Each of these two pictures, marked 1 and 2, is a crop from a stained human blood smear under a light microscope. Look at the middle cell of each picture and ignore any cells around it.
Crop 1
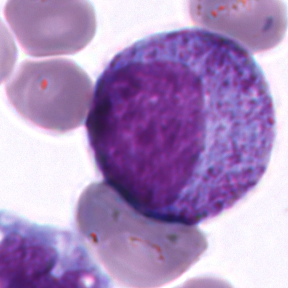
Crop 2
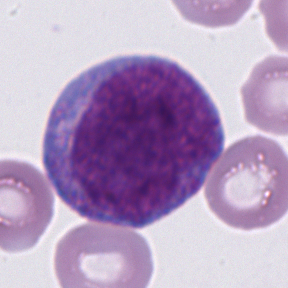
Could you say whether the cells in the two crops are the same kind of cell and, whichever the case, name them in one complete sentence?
Yes, as an answer for this item, both crops show promyelocytes.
